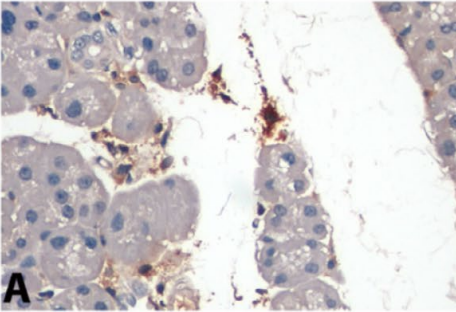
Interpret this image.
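The lobules are made of closely packed secretory epithelial cells with round blue nuclei, some with visible nucleoli, and pale greyish cytoplasm. Between the lobules is a wide clear space with fine strands of loose tissue. The brown cells are irregular in outline, some with short extensions, and their cytoplasm looks granular. They sit along the edges of the lobules and within the interlobular gap rather than among the epithelial cells.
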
